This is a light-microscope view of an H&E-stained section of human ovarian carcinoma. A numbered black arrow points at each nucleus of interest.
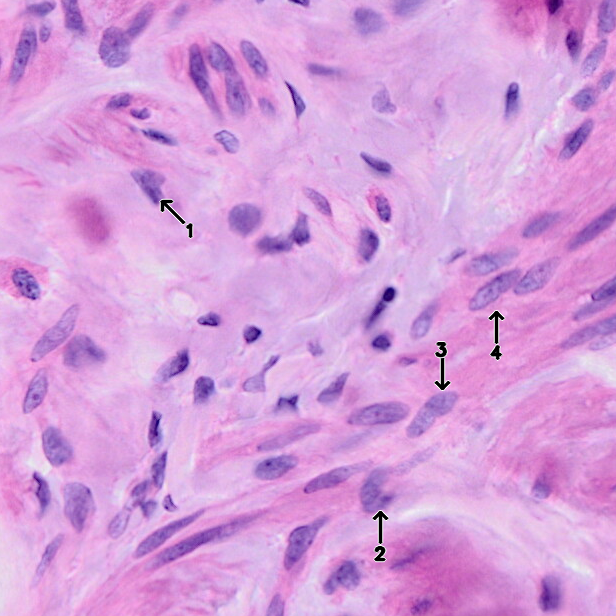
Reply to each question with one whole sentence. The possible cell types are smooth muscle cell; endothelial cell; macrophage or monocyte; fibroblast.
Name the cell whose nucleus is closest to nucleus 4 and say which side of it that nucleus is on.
The closest nucleus belongs to a smooth muscle cell and sits above nucleus 4.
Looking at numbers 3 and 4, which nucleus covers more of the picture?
At about 1.5 times the area of nucleus 3, nucleus 4 is the larger of the two.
